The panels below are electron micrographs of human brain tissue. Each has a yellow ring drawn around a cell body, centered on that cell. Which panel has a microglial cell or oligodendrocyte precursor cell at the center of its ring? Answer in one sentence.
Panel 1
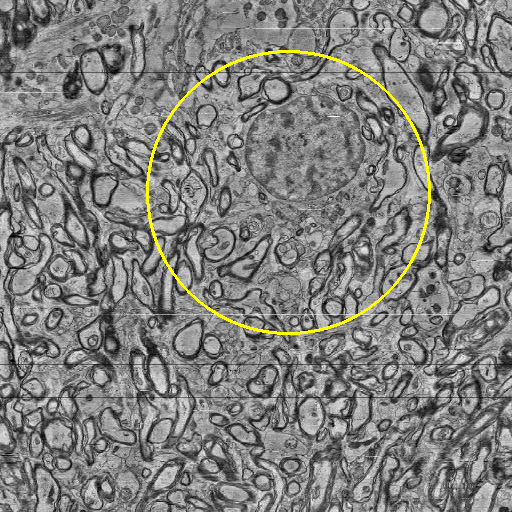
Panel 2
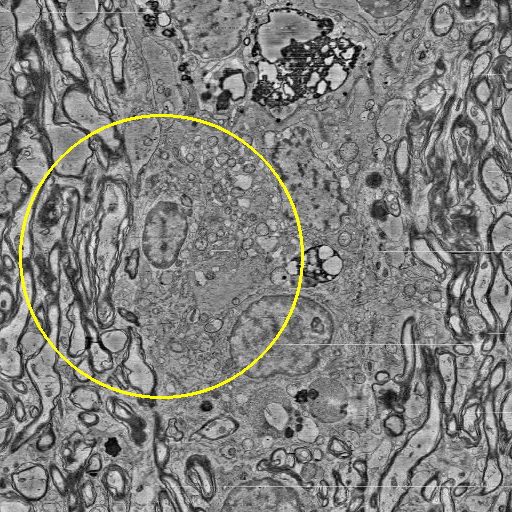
Panel 2 has it at the center of its ring.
